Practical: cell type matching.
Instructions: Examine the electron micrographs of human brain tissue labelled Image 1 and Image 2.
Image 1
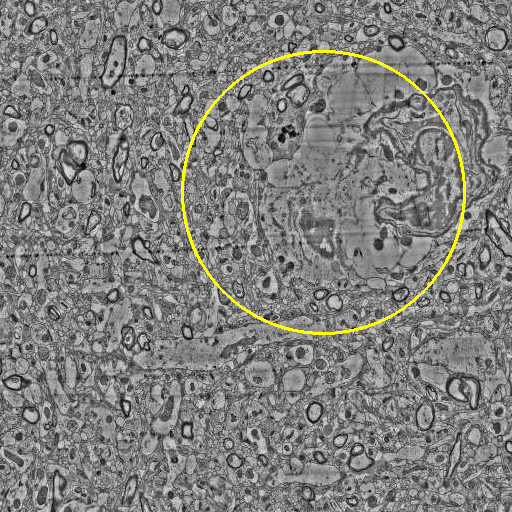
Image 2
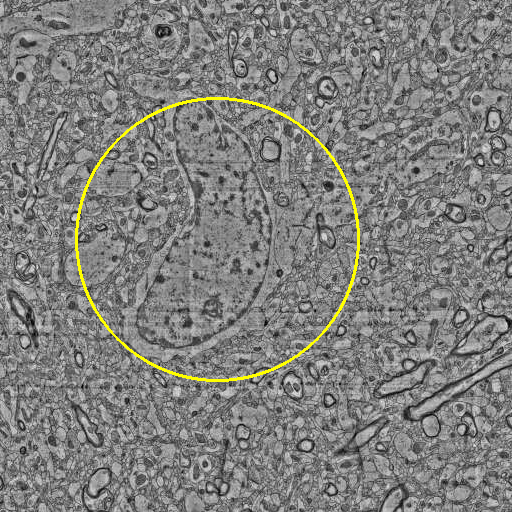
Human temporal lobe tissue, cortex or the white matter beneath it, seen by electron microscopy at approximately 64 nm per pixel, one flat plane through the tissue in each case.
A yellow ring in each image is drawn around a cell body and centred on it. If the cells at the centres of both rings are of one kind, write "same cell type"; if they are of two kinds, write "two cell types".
same cell type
